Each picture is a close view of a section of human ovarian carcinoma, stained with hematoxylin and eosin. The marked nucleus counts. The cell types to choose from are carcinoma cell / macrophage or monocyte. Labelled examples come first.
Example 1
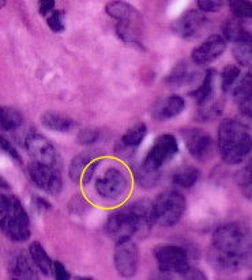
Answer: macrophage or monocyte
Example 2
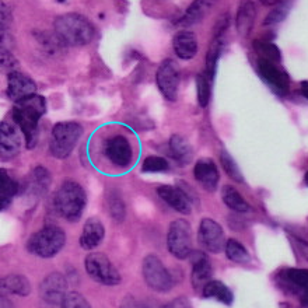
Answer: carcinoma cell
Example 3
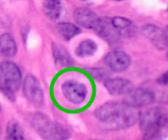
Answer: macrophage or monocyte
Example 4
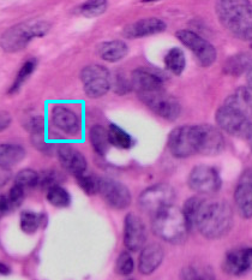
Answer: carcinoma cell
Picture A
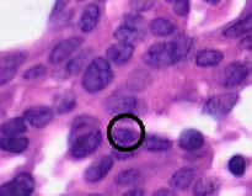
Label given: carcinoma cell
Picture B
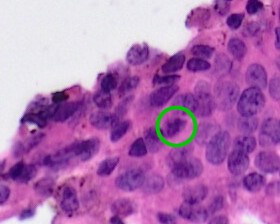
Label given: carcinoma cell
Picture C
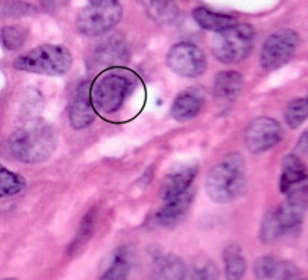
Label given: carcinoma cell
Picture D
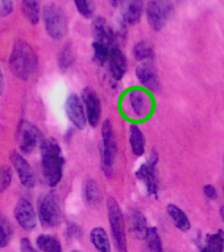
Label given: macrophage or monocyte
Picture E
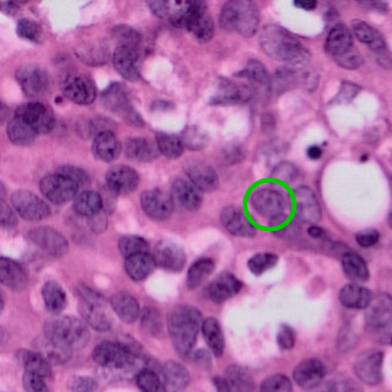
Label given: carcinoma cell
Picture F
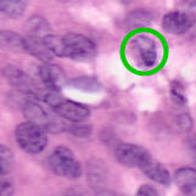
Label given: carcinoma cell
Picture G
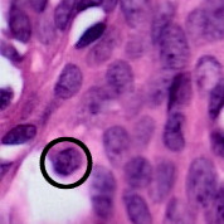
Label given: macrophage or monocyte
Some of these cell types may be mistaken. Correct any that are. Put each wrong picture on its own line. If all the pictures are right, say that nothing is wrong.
F should be macrophage or monocyte, not carcinoma cell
